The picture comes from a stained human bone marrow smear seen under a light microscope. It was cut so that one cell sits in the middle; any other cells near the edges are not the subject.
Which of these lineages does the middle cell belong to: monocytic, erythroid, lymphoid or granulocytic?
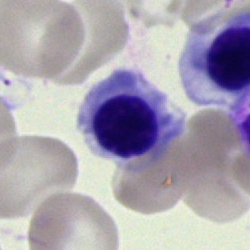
erythroid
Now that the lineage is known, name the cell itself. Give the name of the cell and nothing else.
erythroblast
